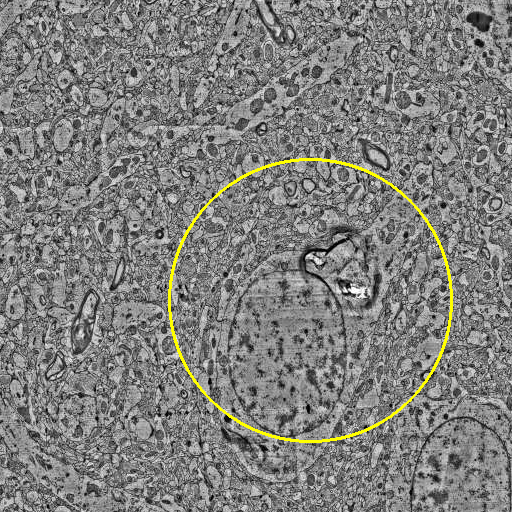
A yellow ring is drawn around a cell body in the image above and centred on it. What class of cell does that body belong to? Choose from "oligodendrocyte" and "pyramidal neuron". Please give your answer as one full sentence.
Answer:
The yellow ring above is centred on the cell body of a pyramidal neuron.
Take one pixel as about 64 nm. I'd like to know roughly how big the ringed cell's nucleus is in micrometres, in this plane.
In this plane, approximately 11 by 8 micrometers.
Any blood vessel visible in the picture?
No, no blood vessel shows in the picture.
